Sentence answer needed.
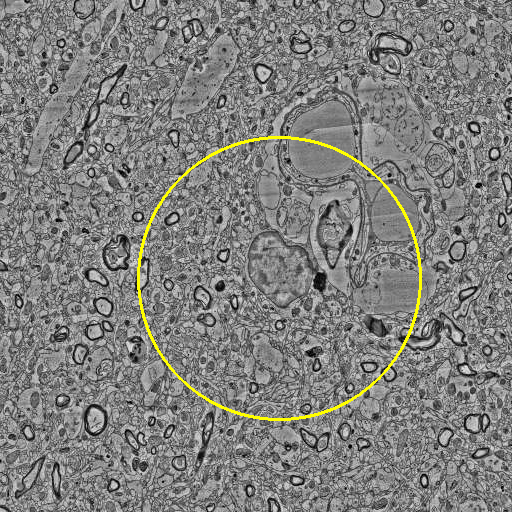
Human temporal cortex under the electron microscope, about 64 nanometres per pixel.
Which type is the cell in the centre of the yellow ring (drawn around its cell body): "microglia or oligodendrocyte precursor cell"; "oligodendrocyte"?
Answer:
In the centre of the yellow ring is an oligodendrocyte.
